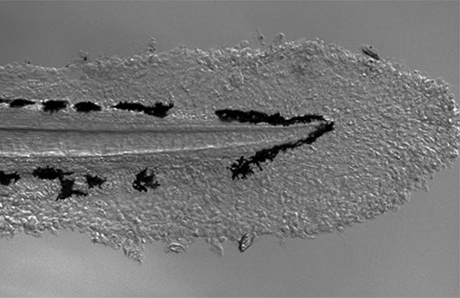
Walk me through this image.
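The tail of a larval fish in differential interference contrast shows the fin fold surrounding the tapering axial structures. Dark, irregular pigment cells line the axis in rows above and below the midline. The epidermis over the fin fold has a rough, cobbled surface texture, with small bumps and clumps of cells rather than a smooth sheet, and the outer margin of the fin is ragged and irregular, with small projections and detached fragments along the edge instead of a clean, continuous border.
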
